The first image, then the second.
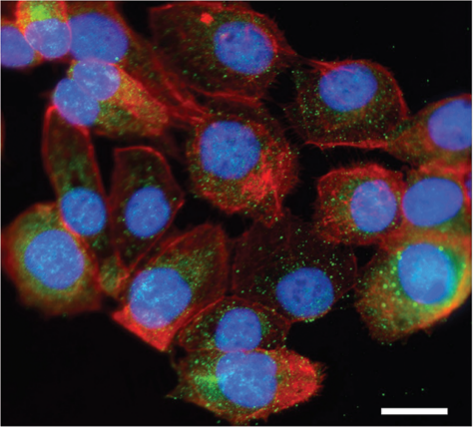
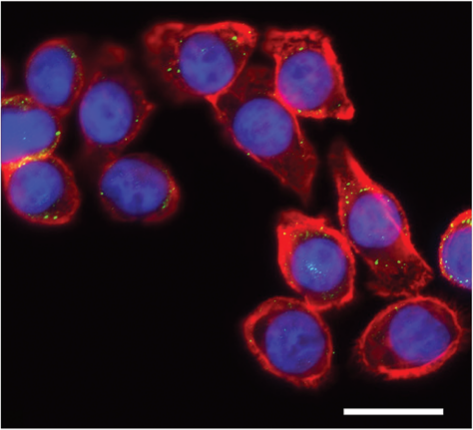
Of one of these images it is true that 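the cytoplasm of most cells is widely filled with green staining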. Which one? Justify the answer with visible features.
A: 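Second image: green appears only as sparse small dots, mostly near the nuclei or cell edges, in red-rimmed cells. First image: many cells show a diffuse green haze plus numerous green dots throughout the cytoplasm.
The first image.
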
